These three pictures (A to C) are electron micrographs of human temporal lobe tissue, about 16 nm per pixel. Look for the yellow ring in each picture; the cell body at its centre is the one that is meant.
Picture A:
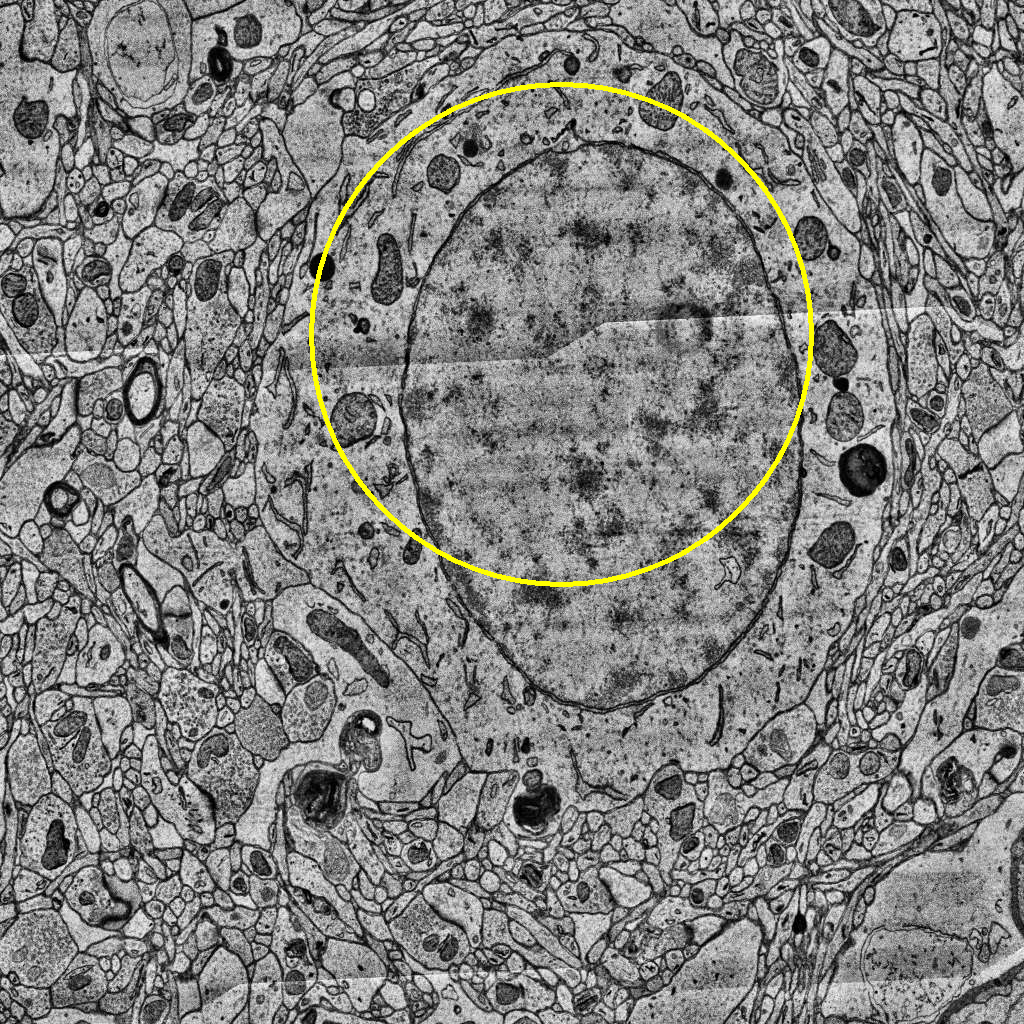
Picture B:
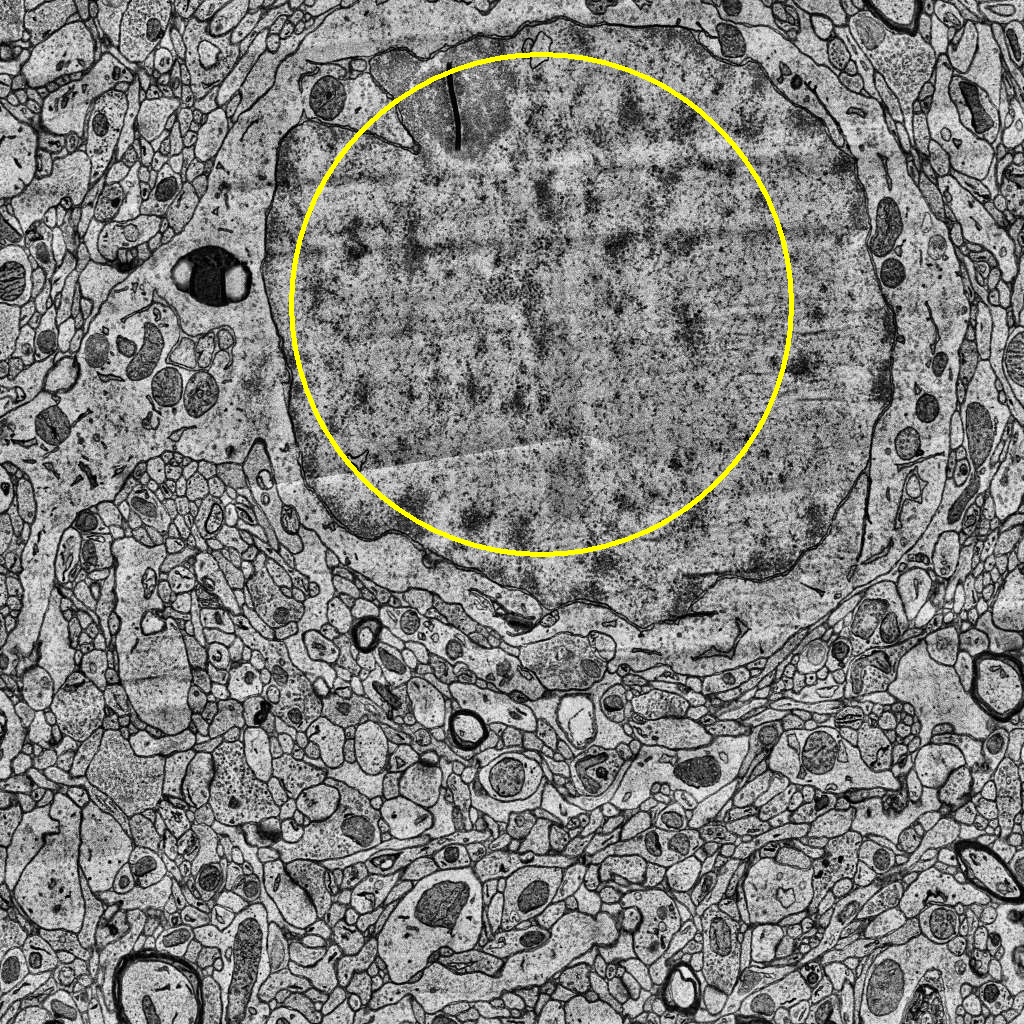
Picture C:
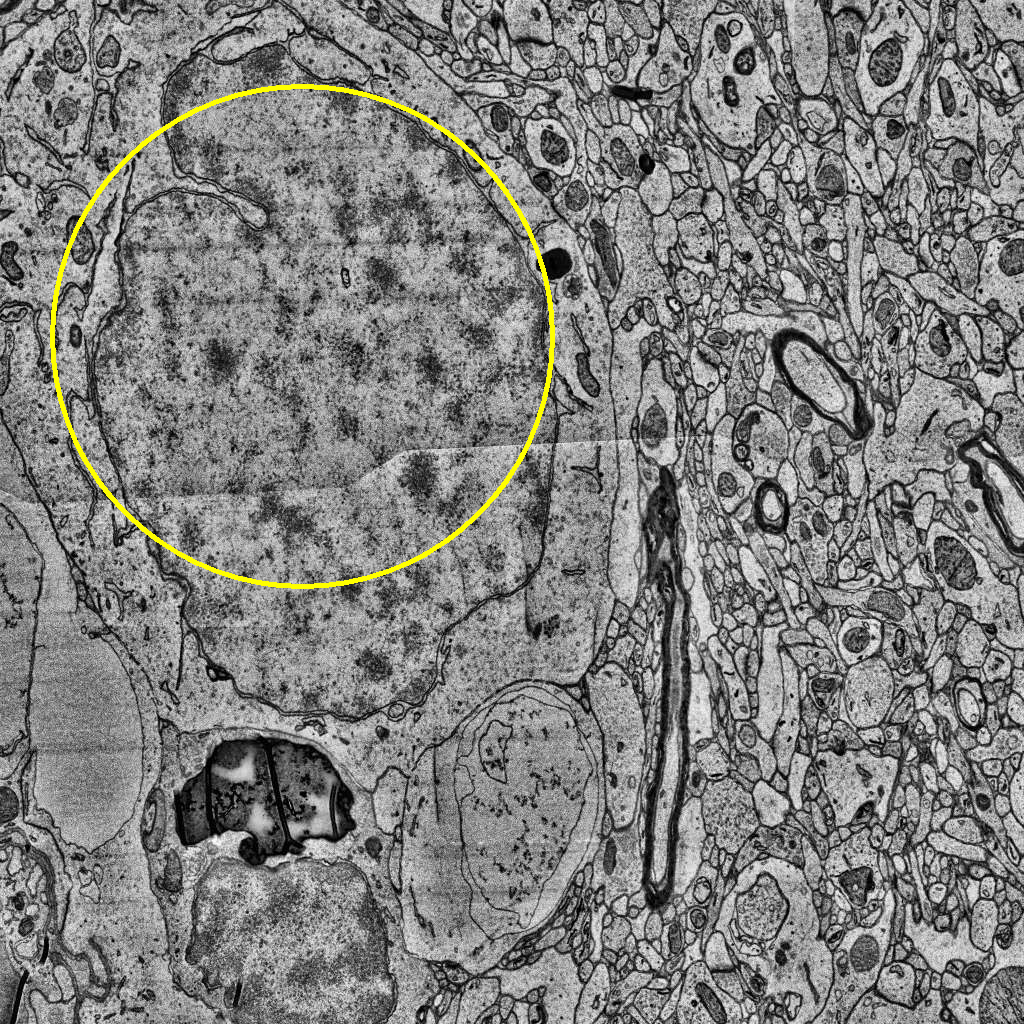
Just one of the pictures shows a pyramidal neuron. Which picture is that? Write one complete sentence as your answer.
Picture A shows the pyramidal neuron.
